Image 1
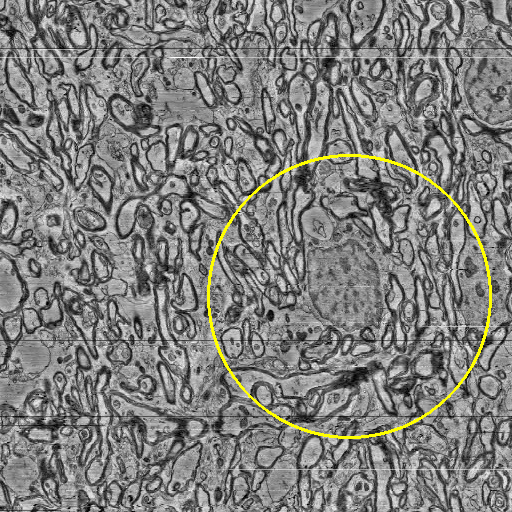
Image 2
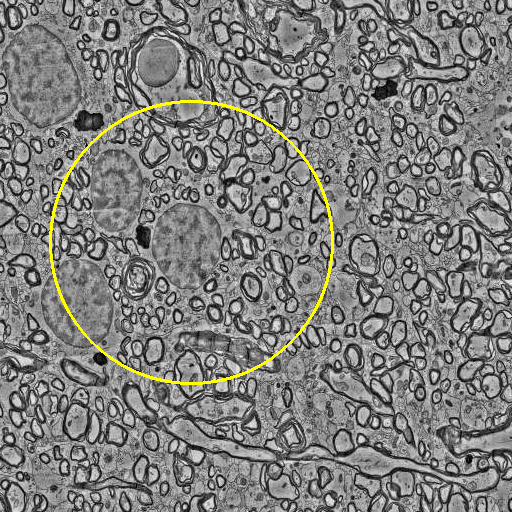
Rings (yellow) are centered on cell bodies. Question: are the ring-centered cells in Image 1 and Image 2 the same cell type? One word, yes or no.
yes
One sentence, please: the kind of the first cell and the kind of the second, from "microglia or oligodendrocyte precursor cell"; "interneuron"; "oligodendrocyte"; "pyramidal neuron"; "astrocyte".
The cell at the ring centre is an oligodendrocyte in both pictures.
